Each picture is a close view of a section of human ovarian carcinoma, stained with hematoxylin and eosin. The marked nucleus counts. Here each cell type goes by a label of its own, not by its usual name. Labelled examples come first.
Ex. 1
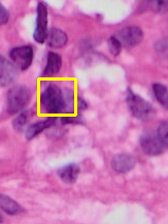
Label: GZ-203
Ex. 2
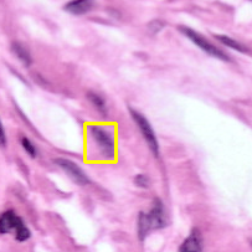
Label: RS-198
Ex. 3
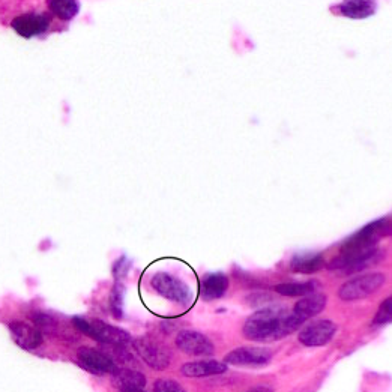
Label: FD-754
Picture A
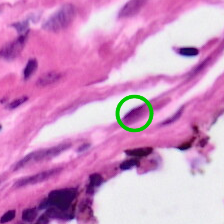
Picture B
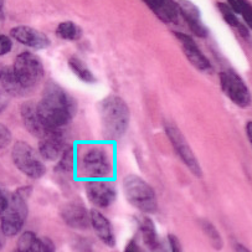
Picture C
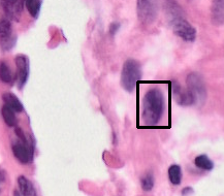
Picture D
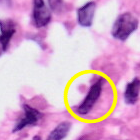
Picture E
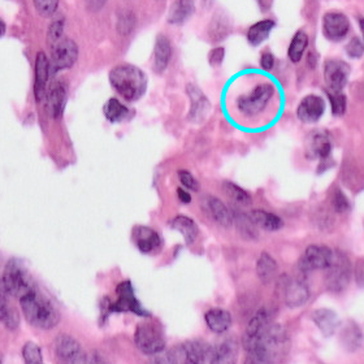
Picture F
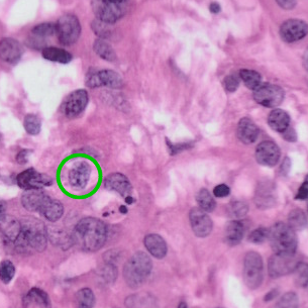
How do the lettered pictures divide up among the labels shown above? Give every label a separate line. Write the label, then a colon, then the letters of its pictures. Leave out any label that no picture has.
GZ-203: B
RS-198: A, C
FD-754: D, E, F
